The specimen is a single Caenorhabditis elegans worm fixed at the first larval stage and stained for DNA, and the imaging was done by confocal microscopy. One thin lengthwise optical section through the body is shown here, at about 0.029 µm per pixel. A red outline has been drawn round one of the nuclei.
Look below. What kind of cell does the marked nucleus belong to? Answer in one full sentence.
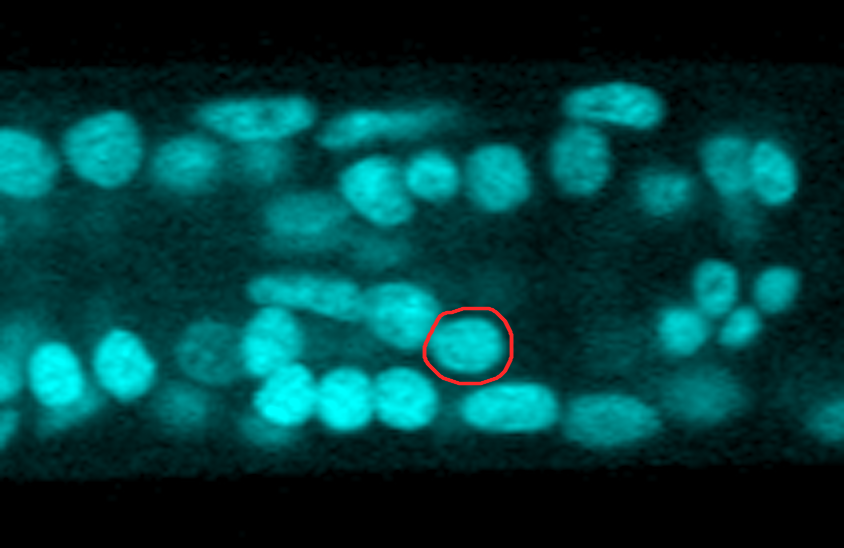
It is the nucleus of a neuron.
